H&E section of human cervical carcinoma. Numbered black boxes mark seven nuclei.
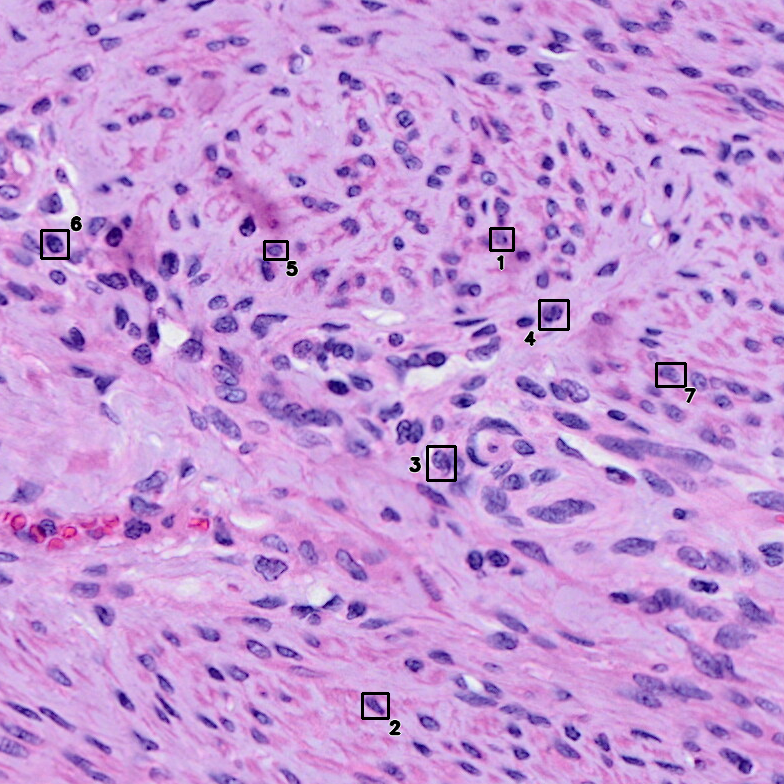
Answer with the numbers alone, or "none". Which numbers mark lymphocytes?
3, 4, 6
